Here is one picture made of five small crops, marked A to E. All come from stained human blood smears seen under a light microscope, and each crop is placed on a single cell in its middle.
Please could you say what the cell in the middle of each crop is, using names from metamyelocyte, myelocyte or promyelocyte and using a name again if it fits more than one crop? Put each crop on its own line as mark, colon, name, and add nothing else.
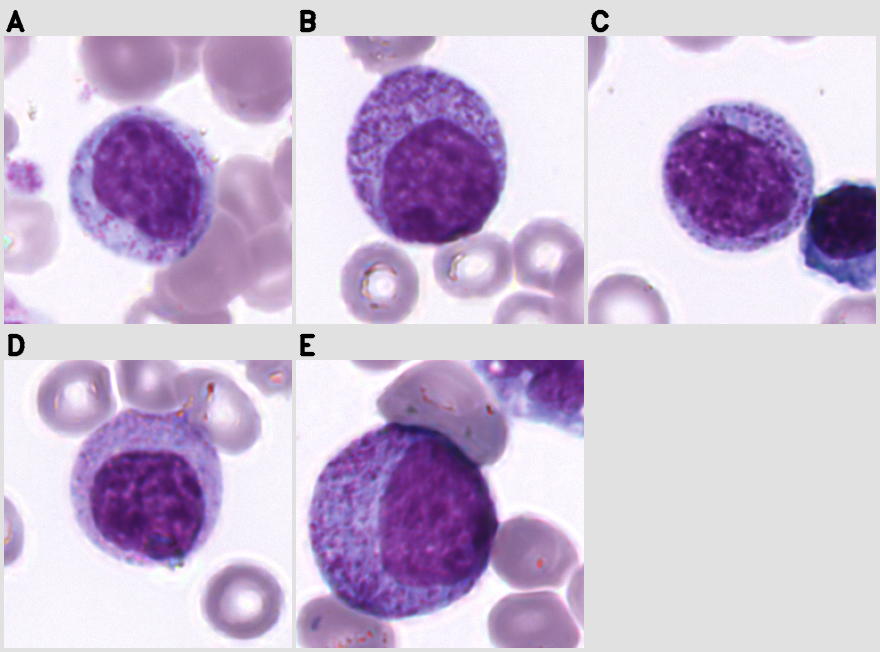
A: myelocyte
B: myelocyte
C: myelocyte
D: myelocyte
E: promyelocyte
